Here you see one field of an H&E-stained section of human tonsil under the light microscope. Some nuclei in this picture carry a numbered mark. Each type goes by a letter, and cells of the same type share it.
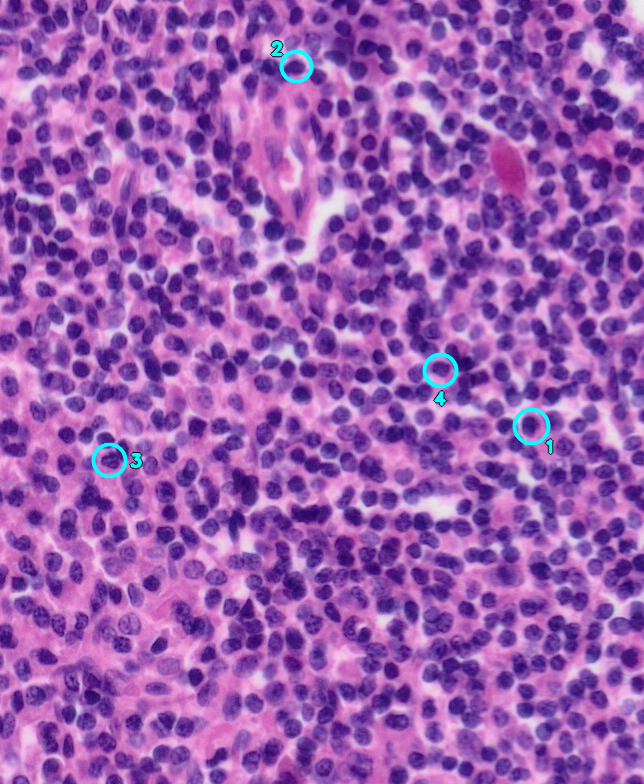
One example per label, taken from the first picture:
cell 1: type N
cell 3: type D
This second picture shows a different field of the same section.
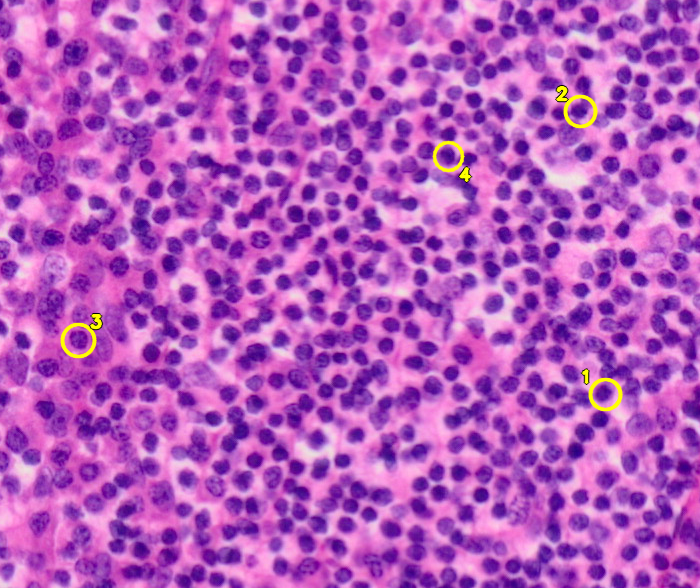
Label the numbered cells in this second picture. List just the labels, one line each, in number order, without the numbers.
type N
type N
type D
type N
